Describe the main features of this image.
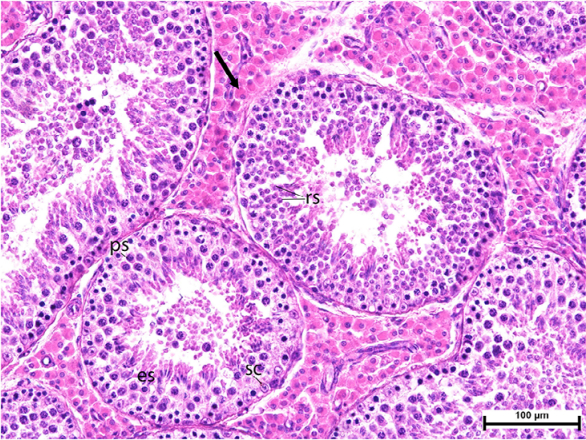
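Seminiferous tubules cut in cross-section, each lined by a thick layered seminiferous epithelium surrounding an open central lumen. Near the thin basal wall lie Sertoli cells and spermatogonia; above them are large primary spermatocytes with coarse dark chromatin, then small round spermatids with pale round nuclei, and elongated spermatids with dark slender heads oriented toward the lumen. Between the tubules, broad interstitial spaces are densely filled with clusters of large polygonal Leydig cells having abundant bright pink cytoplasm and round central nuclei, together with small blood vessels.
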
